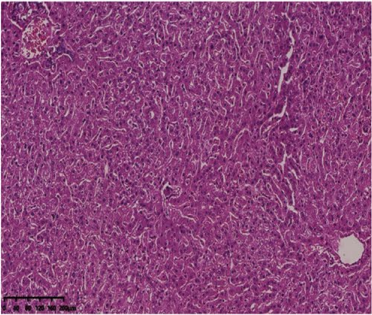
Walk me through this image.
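Liver parenchyma with hepatocytes arranged in cords or plates separated by narrow sinusoids. Hepatocytes are polygonal with abundant eosinophilic pink cytoplasm and round, centrally placed dark nuclei. A small round, empty vascular lumen lies at the lower right, and a small vessel-containing area with a few blue nuclei is seen at the upper left corner. No fibrosis, cysts or dense cellular infiltrates are present; the architecture is uniform throughout.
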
